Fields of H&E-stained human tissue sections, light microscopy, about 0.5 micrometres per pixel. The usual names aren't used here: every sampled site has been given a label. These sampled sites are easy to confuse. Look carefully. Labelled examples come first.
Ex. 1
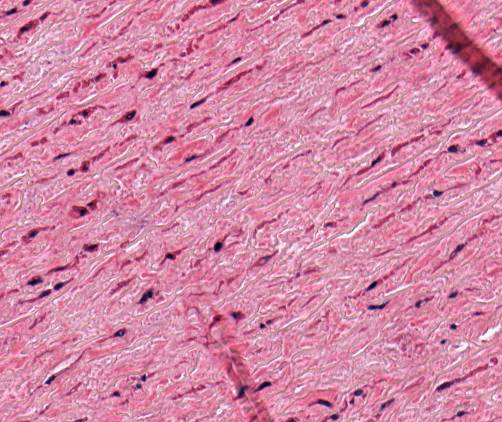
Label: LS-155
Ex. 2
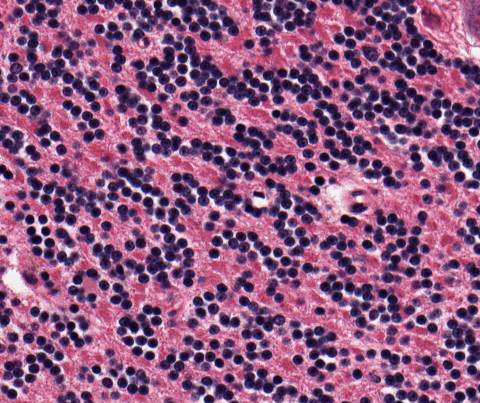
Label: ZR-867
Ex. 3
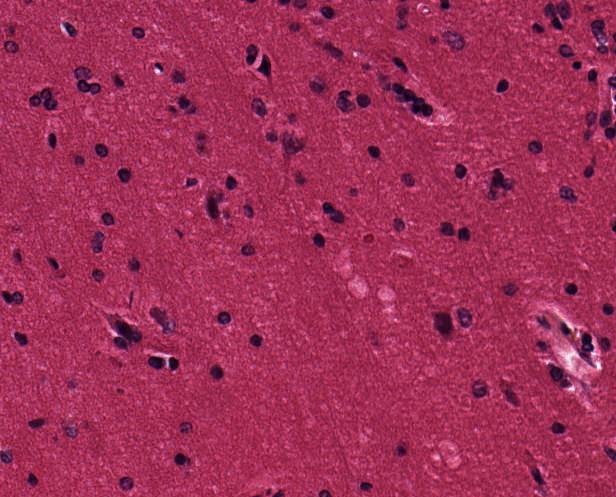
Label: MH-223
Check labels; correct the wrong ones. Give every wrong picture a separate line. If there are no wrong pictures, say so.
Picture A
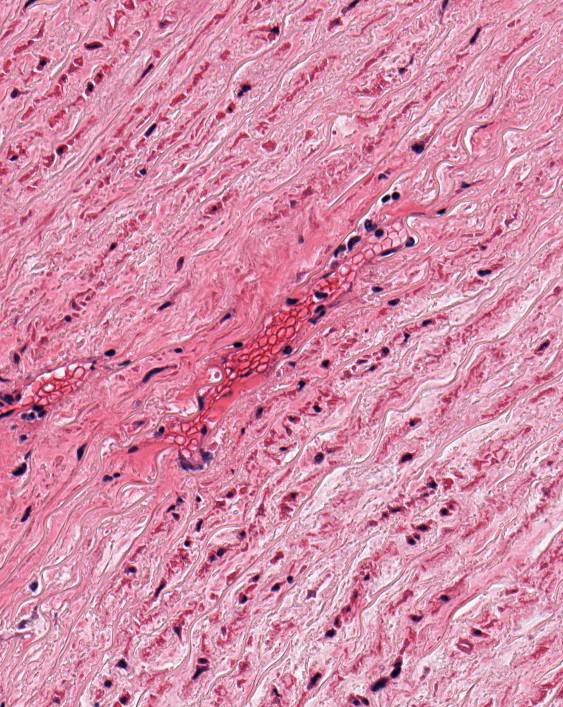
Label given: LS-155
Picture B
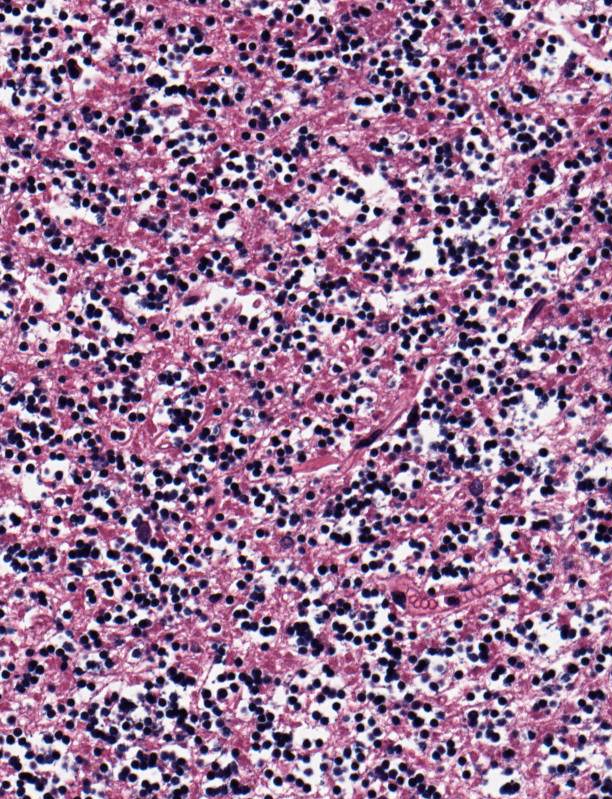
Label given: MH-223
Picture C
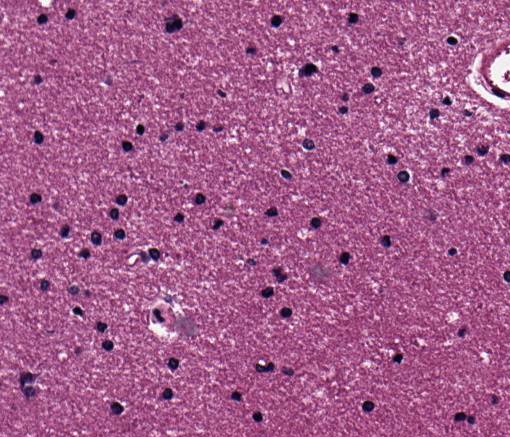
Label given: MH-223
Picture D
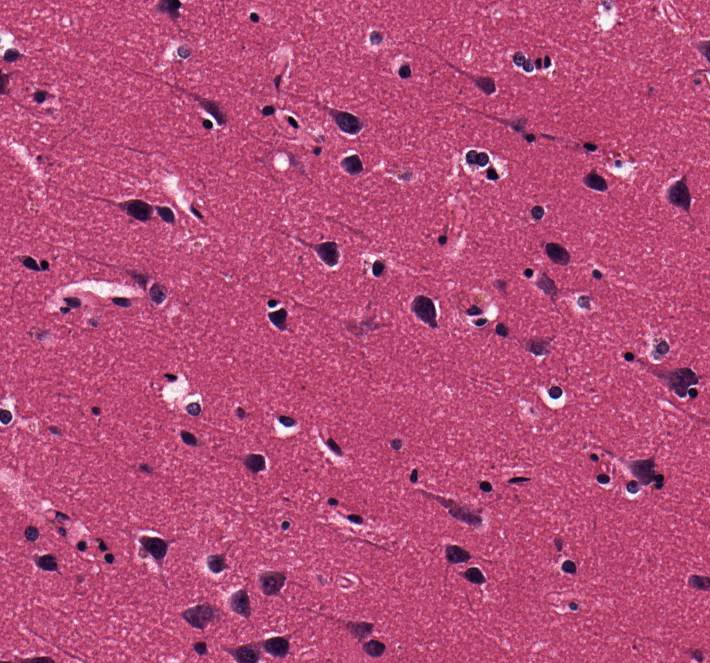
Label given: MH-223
B: ZR-867, not MH-223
